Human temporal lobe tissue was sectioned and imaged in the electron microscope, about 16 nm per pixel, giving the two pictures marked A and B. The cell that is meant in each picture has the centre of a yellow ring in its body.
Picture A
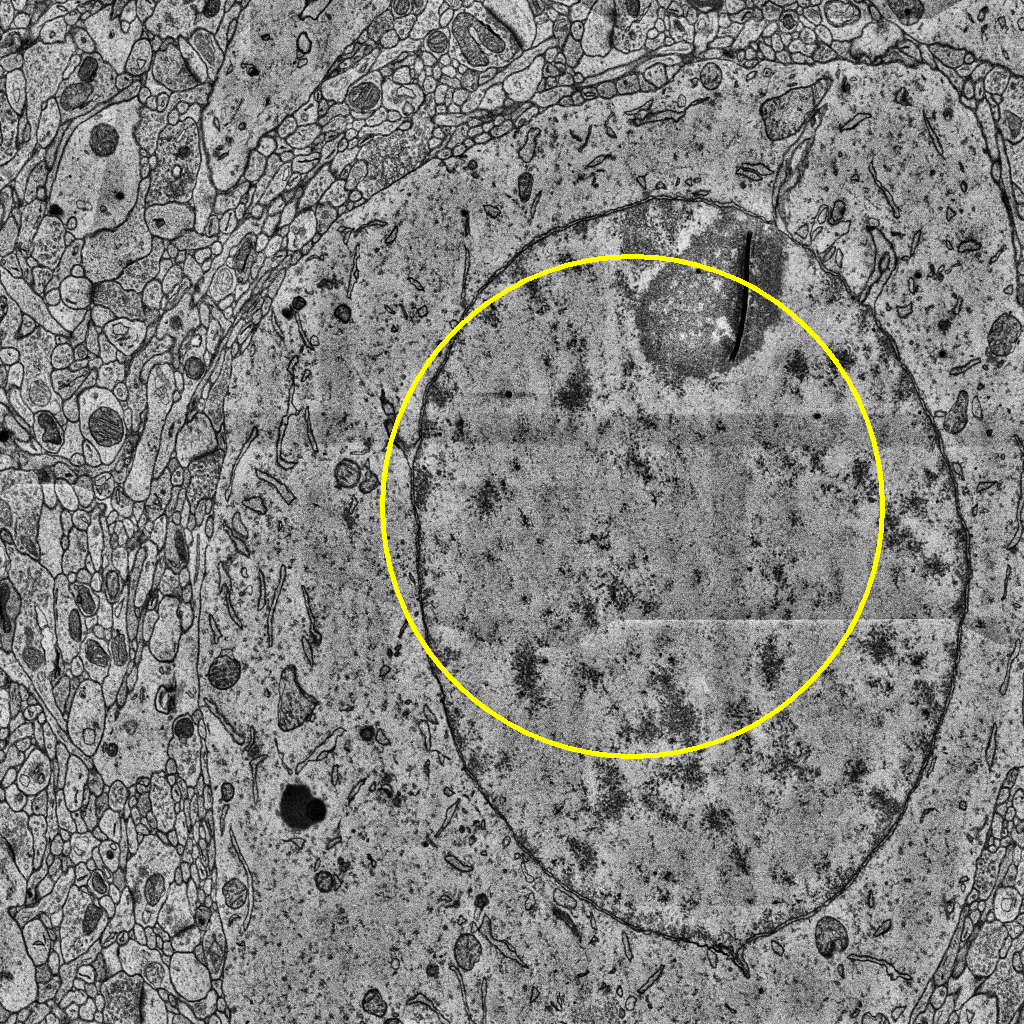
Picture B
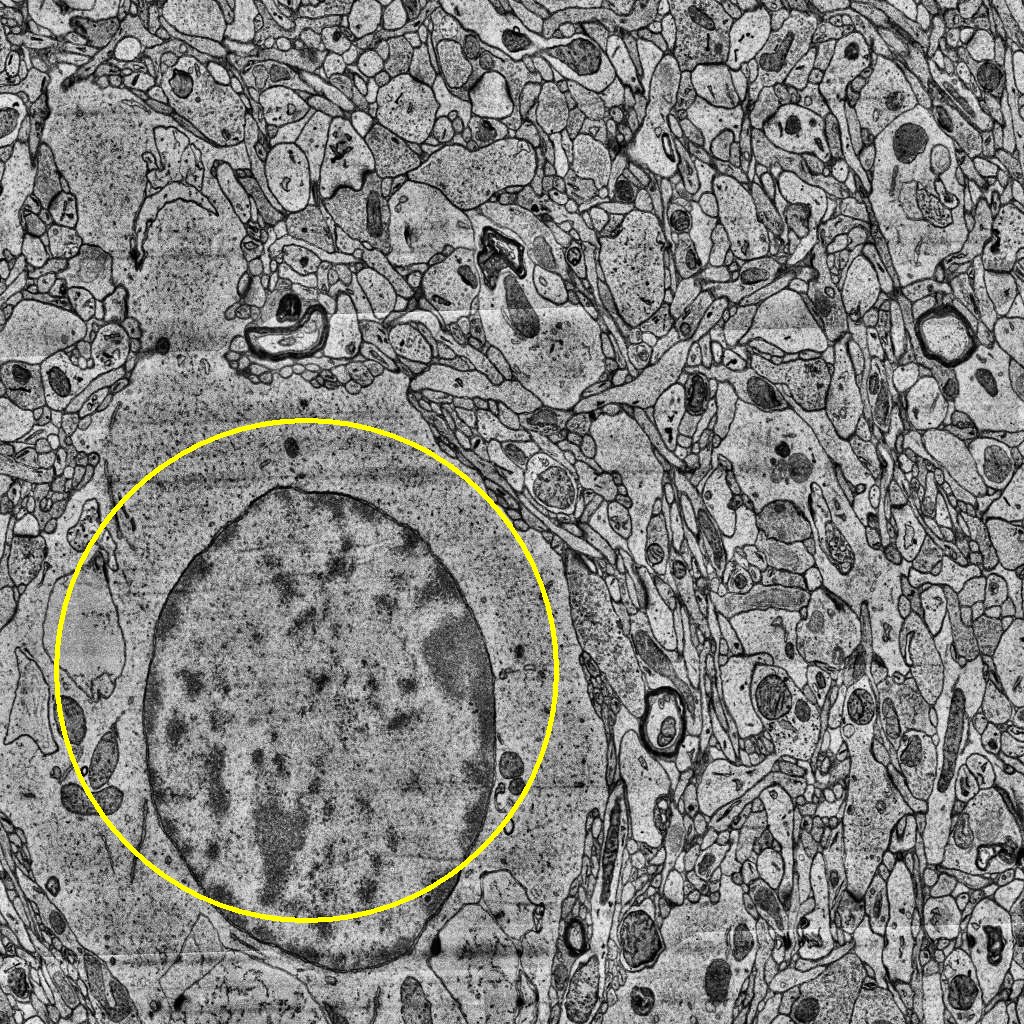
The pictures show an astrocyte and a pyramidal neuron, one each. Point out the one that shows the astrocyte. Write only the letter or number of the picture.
B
